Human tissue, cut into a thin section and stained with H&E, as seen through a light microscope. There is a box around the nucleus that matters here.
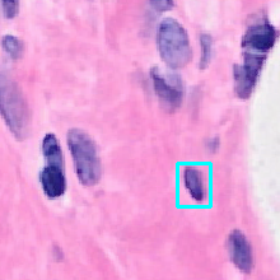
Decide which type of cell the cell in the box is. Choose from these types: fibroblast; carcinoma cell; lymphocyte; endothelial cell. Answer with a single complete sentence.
In this preparation, the cell in the box is a lymphocyte.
